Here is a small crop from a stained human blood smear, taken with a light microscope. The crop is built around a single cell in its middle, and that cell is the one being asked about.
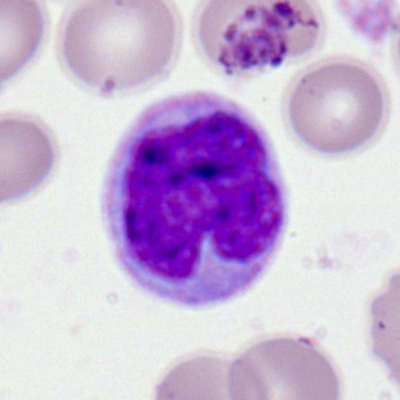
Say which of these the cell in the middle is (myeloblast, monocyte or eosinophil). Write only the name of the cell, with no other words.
monocyte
